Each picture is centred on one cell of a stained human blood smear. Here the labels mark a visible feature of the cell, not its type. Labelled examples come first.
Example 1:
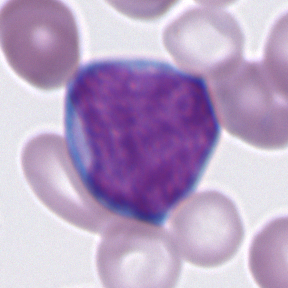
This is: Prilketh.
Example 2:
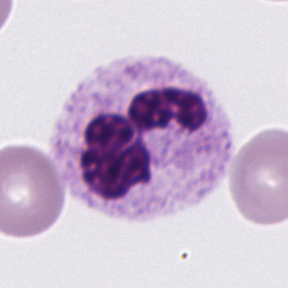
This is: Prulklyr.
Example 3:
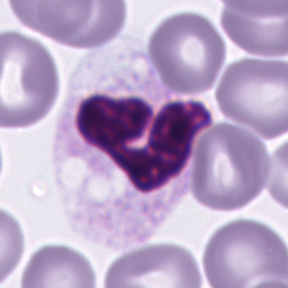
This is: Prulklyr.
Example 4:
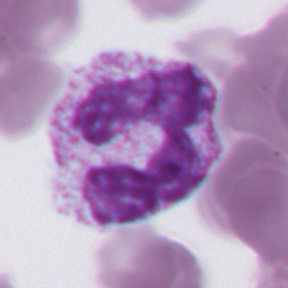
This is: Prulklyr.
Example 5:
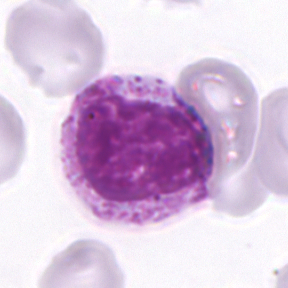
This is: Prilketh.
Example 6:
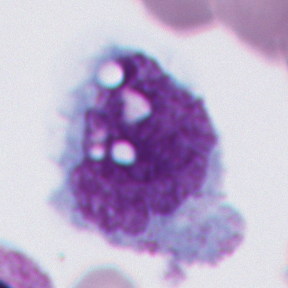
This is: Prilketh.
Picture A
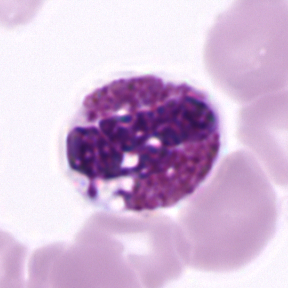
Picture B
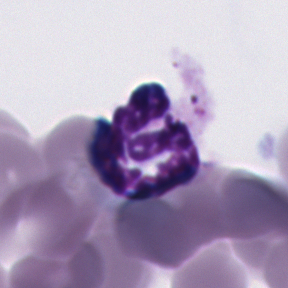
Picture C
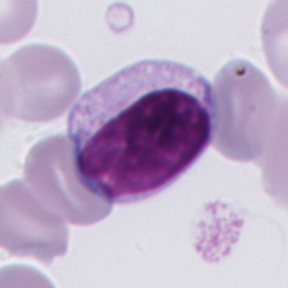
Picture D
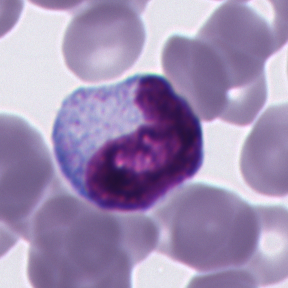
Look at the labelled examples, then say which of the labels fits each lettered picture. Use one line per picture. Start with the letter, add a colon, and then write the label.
A: Prilketh.
B: Prilketh.
C: Prulklyr.
D: Prulklyr.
